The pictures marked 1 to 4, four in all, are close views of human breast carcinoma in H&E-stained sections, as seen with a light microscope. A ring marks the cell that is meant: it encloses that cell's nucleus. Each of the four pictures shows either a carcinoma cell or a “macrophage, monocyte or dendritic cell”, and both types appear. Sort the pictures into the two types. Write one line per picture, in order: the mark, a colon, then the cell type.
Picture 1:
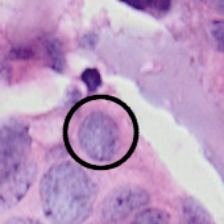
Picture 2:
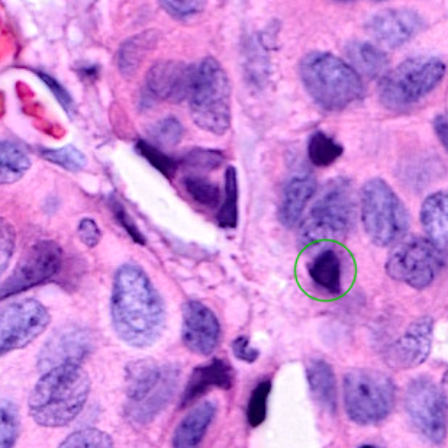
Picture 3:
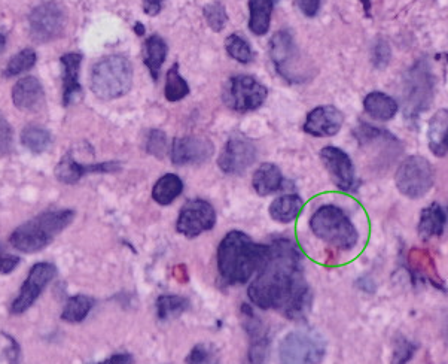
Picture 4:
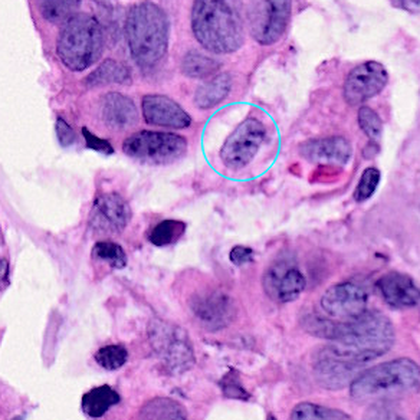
1: carcinoma cell
2: carcinoma cell
3: carcinoma cell
4: macrophage, monocyte or dendritic cell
